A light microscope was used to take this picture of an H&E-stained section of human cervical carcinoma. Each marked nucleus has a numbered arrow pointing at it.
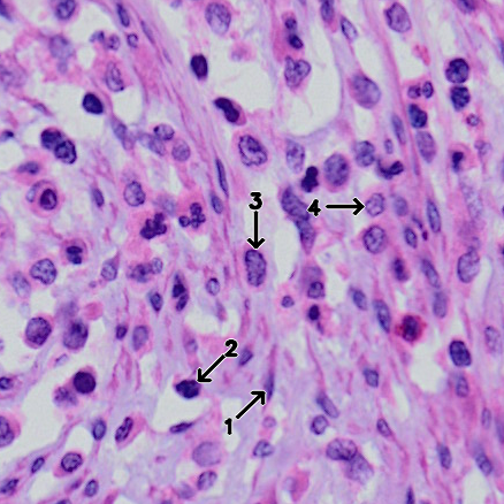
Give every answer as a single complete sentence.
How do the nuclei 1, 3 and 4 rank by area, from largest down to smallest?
Going from the biggest nucleus down to the smallest gives 3, 4, 1.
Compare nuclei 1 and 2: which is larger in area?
Nucleus 2 covers more area, about 1.5 times as much as nucleus 1.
